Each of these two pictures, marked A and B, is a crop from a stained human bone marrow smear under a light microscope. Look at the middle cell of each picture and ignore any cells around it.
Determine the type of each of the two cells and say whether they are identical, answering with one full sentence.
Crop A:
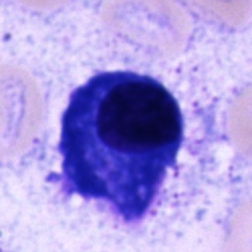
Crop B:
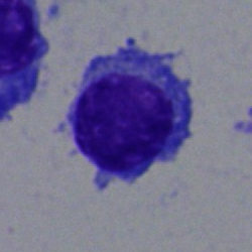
Yes, that holds, both crops show plasma cells.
